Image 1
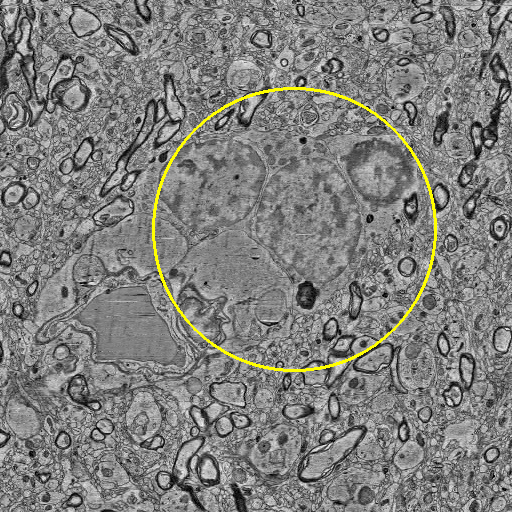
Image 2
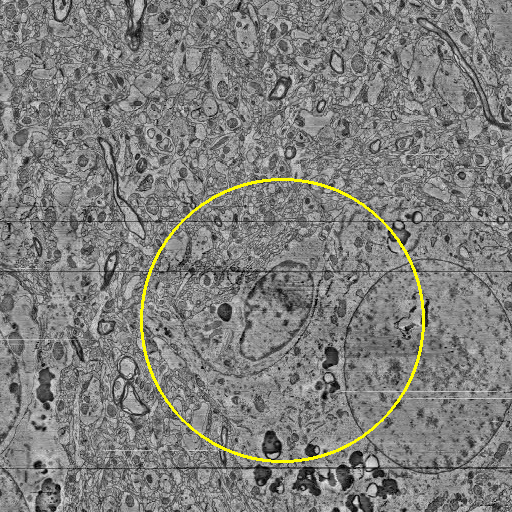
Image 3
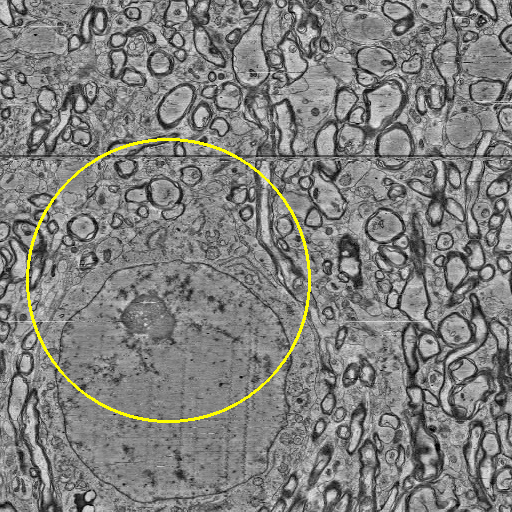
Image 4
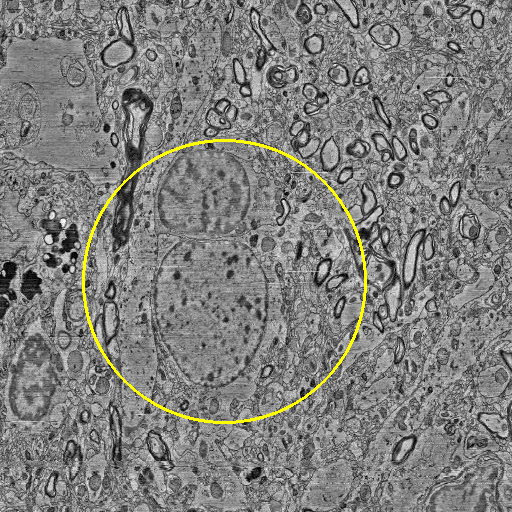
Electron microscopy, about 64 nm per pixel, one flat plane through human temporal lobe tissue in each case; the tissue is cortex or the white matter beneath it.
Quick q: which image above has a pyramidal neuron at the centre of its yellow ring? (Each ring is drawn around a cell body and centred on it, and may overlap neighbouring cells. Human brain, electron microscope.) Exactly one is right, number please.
3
